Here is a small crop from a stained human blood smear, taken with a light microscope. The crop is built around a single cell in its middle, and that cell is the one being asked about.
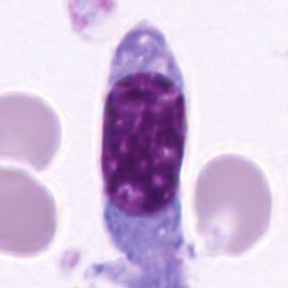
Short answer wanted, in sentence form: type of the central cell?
The central cell, amid any neighbouring cells, is a plasma cell.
